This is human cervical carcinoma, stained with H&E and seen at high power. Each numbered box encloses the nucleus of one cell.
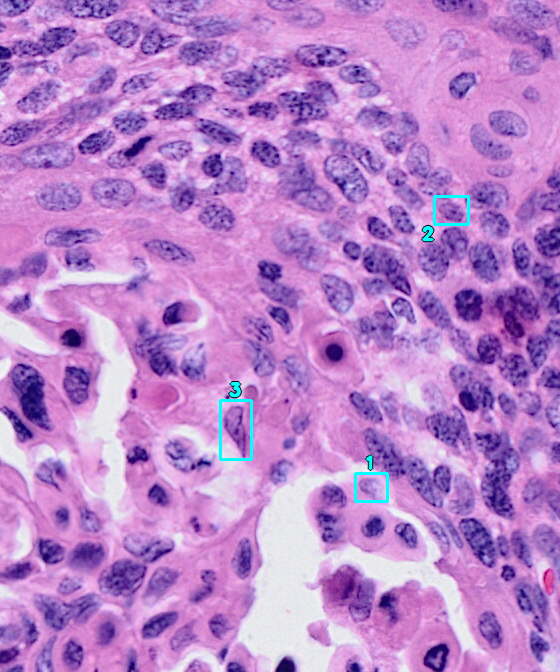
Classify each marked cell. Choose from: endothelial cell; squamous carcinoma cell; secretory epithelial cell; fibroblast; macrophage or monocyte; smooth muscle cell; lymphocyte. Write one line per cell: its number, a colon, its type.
1: squamous carcinoma cell
2: squamous carcinoma cell
3: macrophage or monocyte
